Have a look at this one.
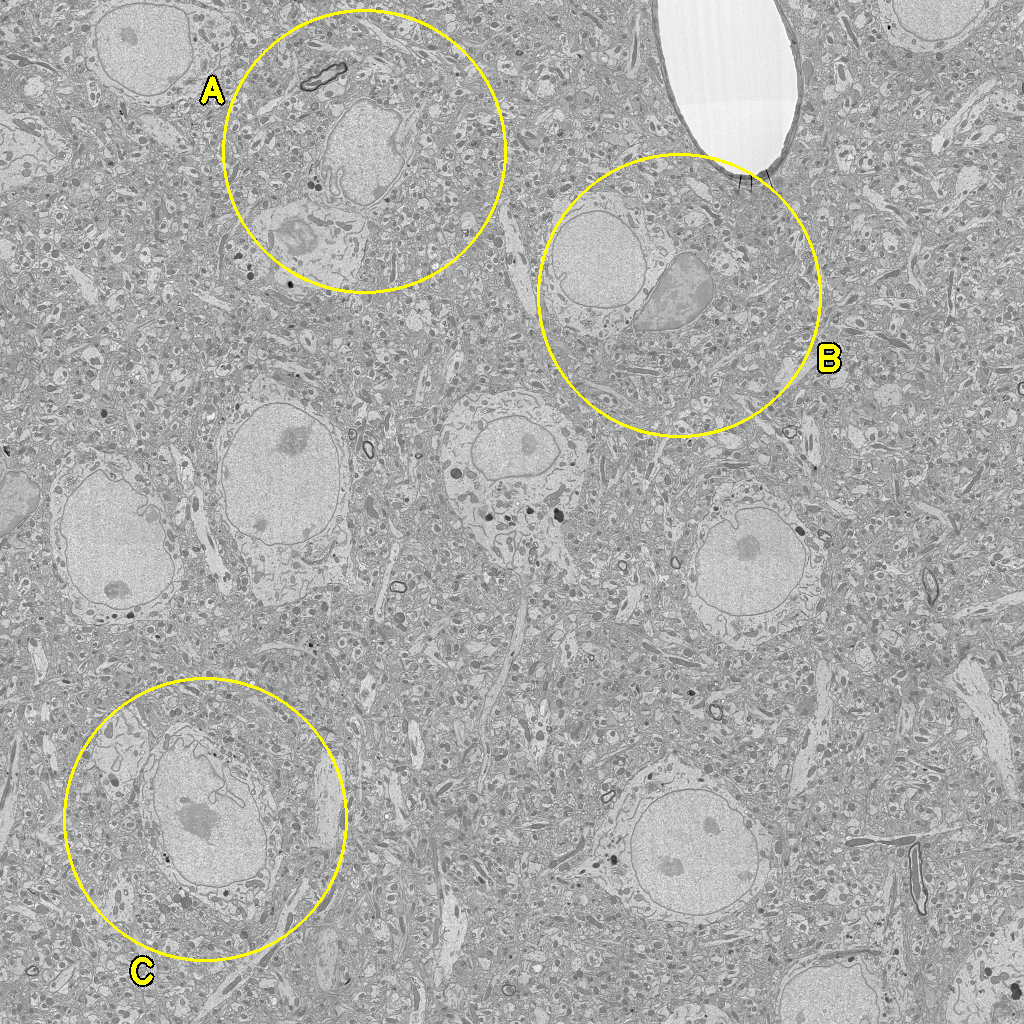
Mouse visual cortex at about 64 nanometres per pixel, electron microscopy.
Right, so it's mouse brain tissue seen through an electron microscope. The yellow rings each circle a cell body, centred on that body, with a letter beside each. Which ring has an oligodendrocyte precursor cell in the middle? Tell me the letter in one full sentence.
That kind of cell is sitting in the middle of ring A there.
